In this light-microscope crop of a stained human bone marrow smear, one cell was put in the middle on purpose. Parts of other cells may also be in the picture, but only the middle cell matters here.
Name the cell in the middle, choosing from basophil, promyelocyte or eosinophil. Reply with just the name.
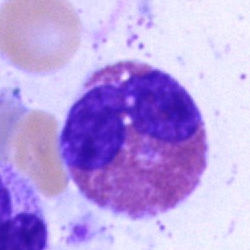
eosinophil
